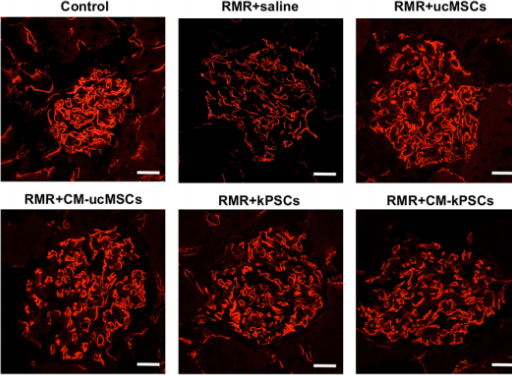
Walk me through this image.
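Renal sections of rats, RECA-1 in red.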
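Thinner red lines in the surrounding tissue trace the vessels between the tubules. The density of red loops within the tufts varies between fields, some appearing full and tightly packed, others sparser with more dark gaps.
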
